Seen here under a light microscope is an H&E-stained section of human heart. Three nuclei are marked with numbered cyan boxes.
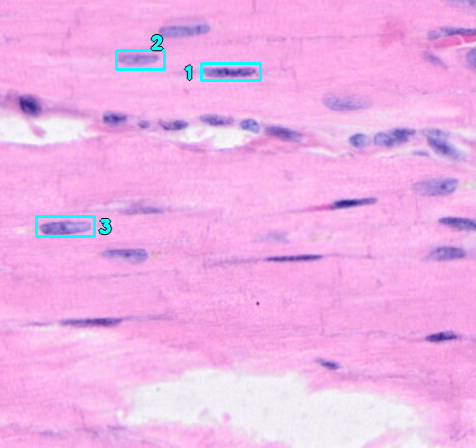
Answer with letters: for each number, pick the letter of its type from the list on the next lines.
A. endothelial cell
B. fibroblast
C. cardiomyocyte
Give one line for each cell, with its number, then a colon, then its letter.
1: A
2: C
3: C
